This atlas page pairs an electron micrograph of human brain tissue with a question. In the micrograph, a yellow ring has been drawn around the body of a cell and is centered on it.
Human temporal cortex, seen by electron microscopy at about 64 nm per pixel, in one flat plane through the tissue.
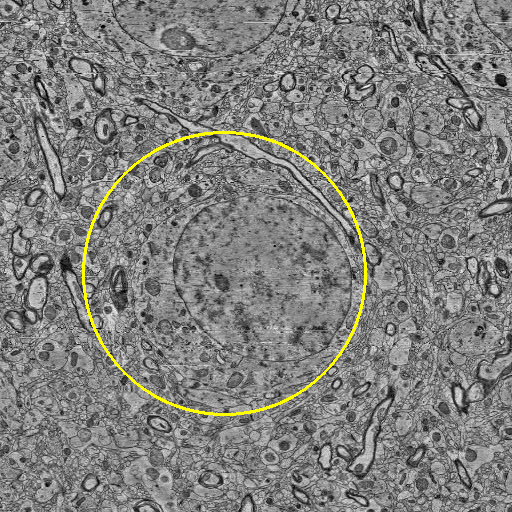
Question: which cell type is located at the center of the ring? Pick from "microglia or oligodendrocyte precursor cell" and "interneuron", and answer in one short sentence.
Located at the center of the ring is an interneuron.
